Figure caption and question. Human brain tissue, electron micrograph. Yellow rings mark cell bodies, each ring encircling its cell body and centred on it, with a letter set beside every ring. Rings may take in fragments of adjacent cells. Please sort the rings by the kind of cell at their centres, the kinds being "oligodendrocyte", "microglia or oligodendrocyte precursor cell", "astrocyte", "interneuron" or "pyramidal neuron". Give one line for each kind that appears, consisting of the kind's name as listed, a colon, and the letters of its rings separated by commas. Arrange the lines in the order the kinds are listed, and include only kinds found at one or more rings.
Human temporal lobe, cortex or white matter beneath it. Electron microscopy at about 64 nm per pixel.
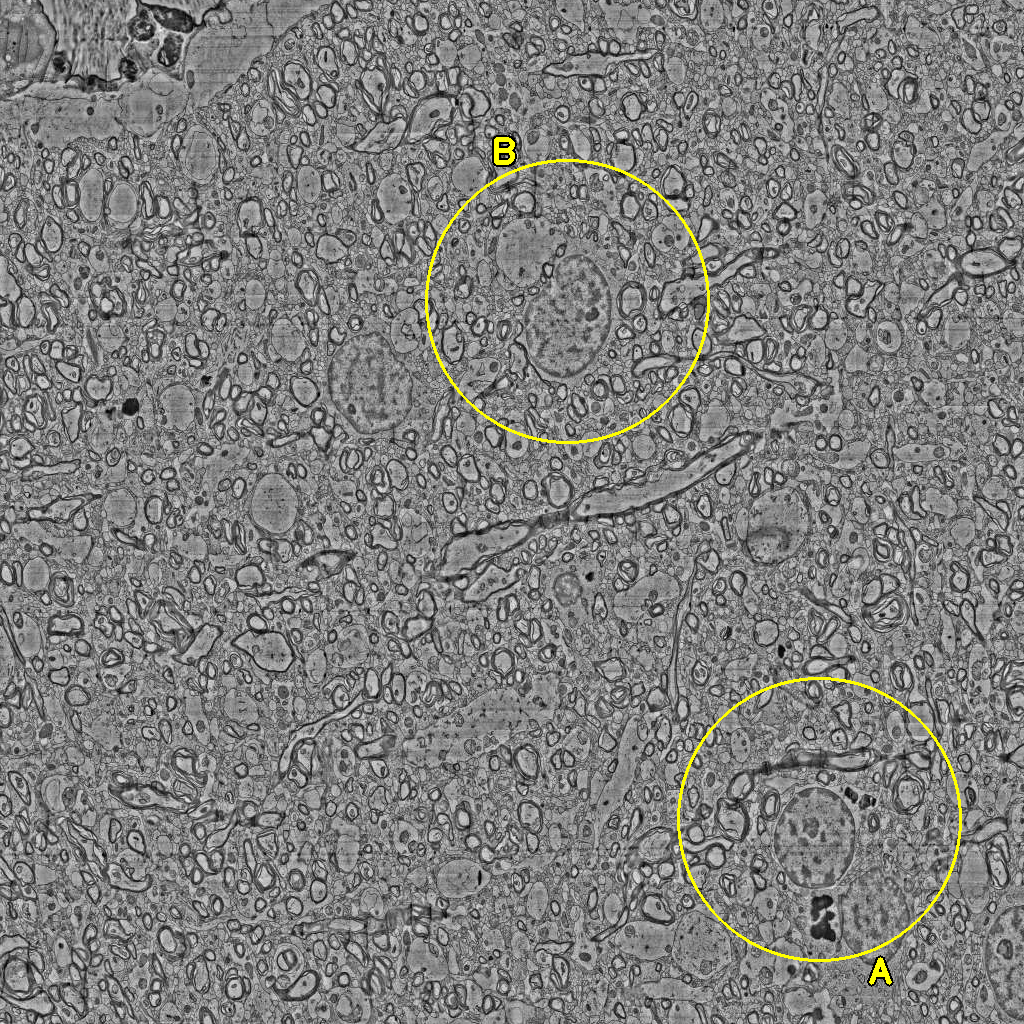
oligodendrocyte: B
microglia or oligodendrocyte precursor cell: A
